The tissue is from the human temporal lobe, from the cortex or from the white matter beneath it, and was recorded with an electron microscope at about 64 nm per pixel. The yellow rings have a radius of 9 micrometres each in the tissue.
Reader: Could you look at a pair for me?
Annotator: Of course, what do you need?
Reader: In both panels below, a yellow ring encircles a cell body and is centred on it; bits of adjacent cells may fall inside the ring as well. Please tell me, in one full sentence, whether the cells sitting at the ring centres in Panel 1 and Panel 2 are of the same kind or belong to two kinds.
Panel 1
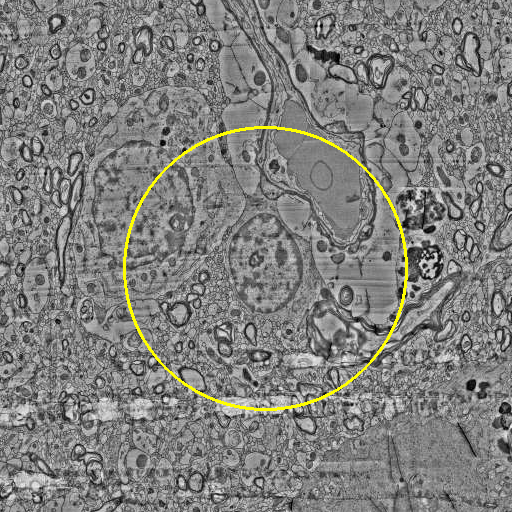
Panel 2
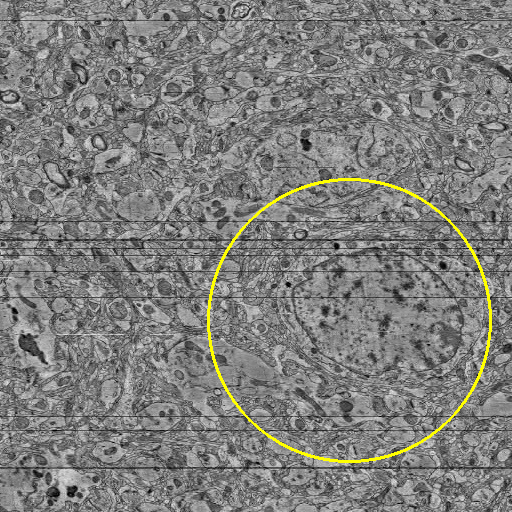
The cell at the ring's centre in Panel 1 and the one in Panel 2 belong to two kinds.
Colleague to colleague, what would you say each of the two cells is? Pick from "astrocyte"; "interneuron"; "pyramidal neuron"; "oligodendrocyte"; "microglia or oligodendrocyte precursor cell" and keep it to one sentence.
The cell in the first picture is an oligodendrocyte; the second picture's cell is a pyramidal neuron.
